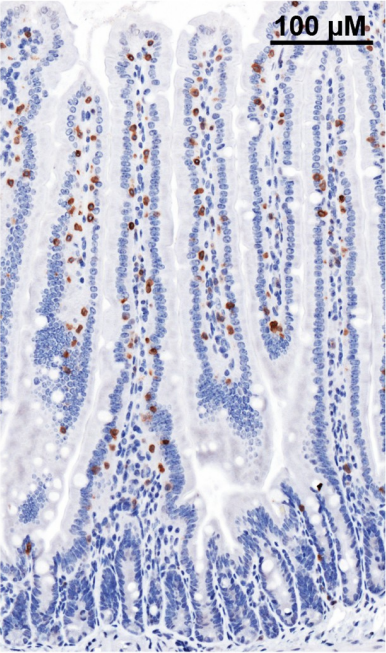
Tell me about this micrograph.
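This is small intestinal mucosa cut lengthwise along tall, slender villi, each covered by a single layer of columnar epithelial cells with blue, elongated nuclei and scattered pale goblet cells. Many small, round, brown-stained lymphocytes sit within the epithelial layer and in the connective tissue cores of the villi. Crypts are visible at the bottom of the image.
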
